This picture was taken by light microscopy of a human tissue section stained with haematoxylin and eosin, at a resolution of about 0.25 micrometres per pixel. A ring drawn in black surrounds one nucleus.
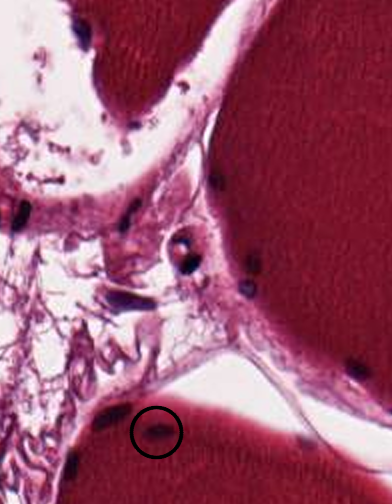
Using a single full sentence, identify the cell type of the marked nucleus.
The nucleus marked in this picture belongs to a skeletal muscle fibre.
